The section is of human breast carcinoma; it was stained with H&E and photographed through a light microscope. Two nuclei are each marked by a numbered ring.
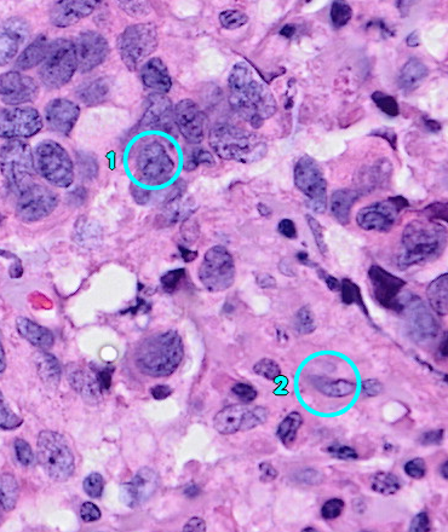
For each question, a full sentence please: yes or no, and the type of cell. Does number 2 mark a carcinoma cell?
No, the cell carrying number 2 is an endothelial cell rather than a carcinoma cell.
